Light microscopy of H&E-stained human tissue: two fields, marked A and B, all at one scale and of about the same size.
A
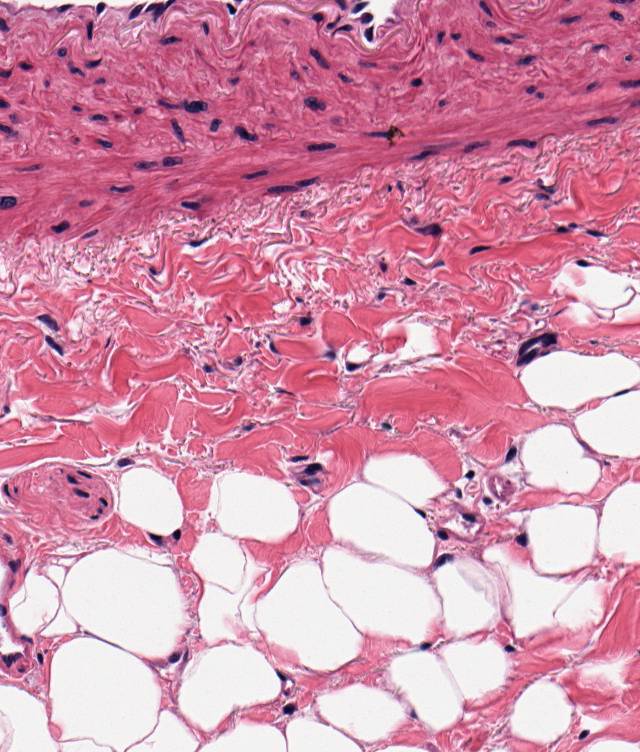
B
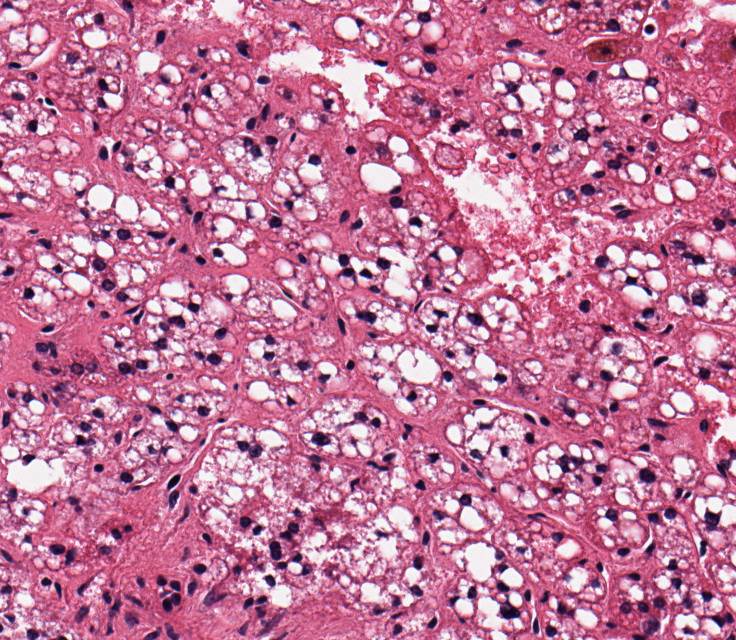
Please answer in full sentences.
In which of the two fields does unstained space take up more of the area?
More of field A is empty and white.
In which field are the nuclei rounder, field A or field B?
On the whole the nuclei of field B are rounder than those of field A.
